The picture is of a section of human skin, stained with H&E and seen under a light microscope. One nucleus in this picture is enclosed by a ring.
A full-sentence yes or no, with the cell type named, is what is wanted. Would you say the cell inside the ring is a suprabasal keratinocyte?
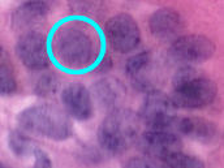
No, a suprabasal keratinocyte is not what the cell inside the ring is; it is a basal keratinocyte.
